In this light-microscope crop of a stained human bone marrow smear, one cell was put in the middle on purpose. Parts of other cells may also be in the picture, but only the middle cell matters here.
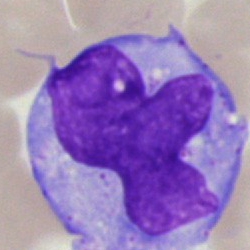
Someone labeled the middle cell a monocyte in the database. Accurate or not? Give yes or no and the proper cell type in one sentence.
Yes, it is a monocyte that occupies the centre of the crop.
